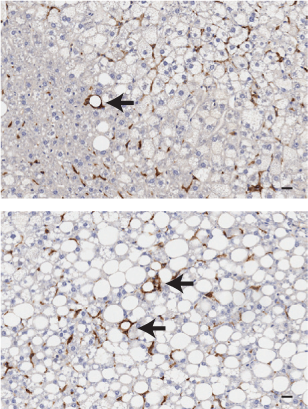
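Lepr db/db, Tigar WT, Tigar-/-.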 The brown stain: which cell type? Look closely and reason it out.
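Macrophages. Brown-stained cells are small, irregular and lie between hepatocytes. Brown cells are scattered through the parenchyma.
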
